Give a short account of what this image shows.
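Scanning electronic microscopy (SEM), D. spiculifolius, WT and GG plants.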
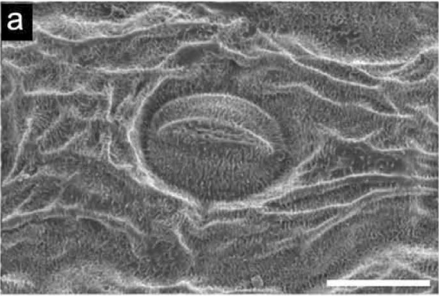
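This is the leaf epidermis seen from above, with a single stoma in the centre. Its two guard cells form an elliptical complex that sits slightly sunken among the surrounding cells. Between the guard cells runs a narrow, slit-like pore. The neighbouring epidermal cells are elongated and their surfaces are thrown into irregular wrinkled ridges. The whole surface has a fine granular texture.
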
